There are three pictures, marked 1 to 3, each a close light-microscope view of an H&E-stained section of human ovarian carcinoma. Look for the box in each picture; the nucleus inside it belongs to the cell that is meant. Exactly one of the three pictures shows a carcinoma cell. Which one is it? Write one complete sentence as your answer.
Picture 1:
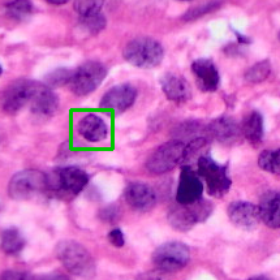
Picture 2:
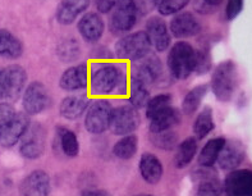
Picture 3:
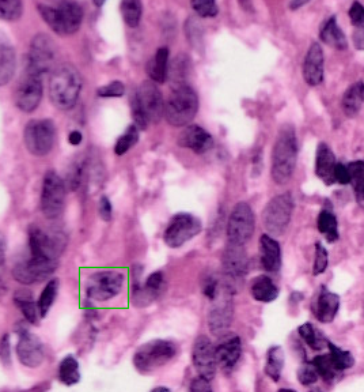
Picture 2 shows the carcinoma cell.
